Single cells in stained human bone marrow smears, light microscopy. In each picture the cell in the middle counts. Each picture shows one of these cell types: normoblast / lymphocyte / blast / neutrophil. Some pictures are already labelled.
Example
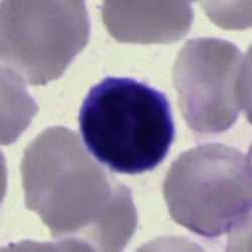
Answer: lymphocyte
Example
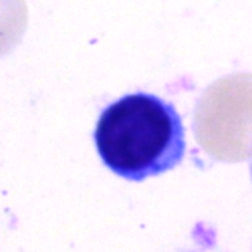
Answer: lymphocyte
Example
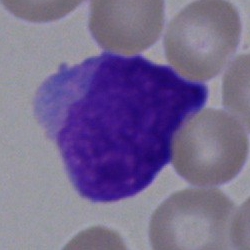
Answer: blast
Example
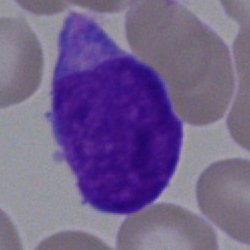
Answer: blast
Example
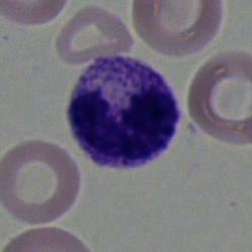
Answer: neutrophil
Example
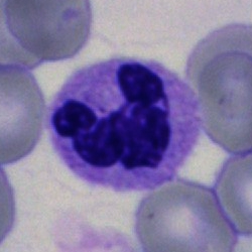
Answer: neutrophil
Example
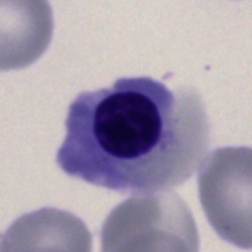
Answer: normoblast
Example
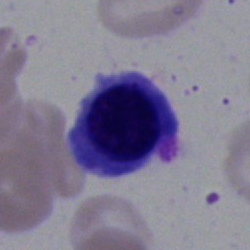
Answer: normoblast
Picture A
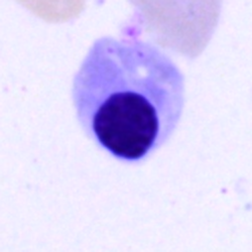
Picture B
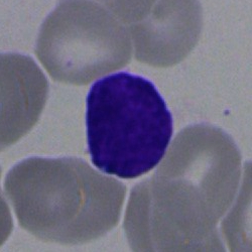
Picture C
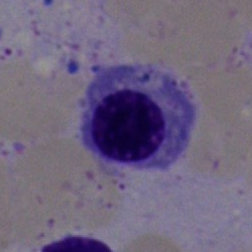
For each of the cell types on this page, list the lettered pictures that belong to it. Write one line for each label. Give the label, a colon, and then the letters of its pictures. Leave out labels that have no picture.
normoblast: A, C
lymphocyte: B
